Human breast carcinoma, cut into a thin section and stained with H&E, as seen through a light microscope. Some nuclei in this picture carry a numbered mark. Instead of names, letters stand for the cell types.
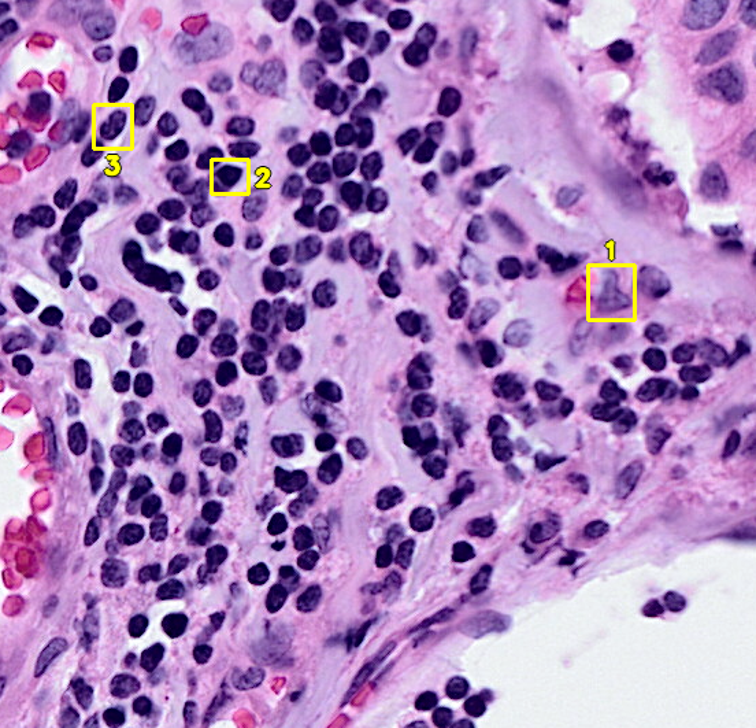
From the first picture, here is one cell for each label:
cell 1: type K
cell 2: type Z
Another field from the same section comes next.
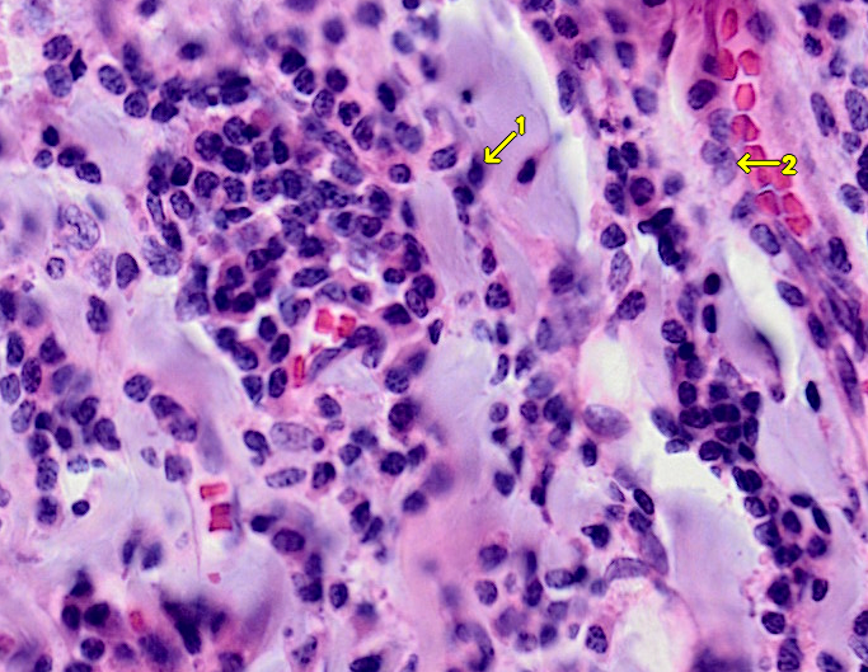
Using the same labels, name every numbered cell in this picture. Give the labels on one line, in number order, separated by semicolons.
type Z; type K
